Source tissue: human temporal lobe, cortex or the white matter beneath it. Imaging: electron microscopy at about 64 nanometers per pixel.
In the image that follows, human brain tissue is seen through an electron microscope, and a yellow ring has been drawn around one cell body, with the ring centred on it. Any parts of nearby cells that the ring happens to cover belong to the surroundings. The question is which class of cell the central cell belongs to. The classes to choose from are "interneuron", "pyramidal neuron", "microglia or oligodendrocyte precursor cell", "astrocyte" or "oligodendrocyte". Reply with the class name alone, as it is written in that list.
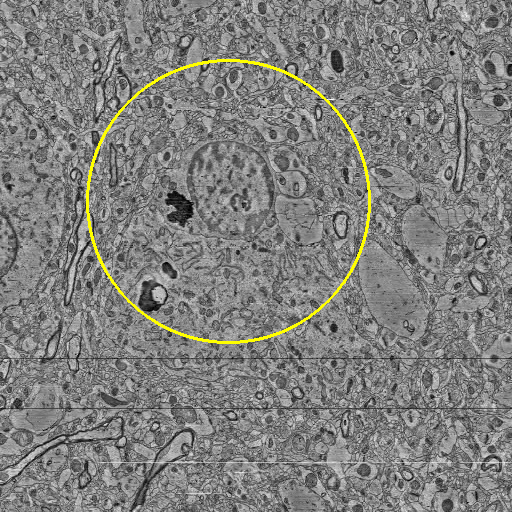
oligodendrocyte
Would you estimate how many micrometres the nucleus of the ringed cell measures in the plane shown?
In this plane, about 6 micrometres in length and 5 in width.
